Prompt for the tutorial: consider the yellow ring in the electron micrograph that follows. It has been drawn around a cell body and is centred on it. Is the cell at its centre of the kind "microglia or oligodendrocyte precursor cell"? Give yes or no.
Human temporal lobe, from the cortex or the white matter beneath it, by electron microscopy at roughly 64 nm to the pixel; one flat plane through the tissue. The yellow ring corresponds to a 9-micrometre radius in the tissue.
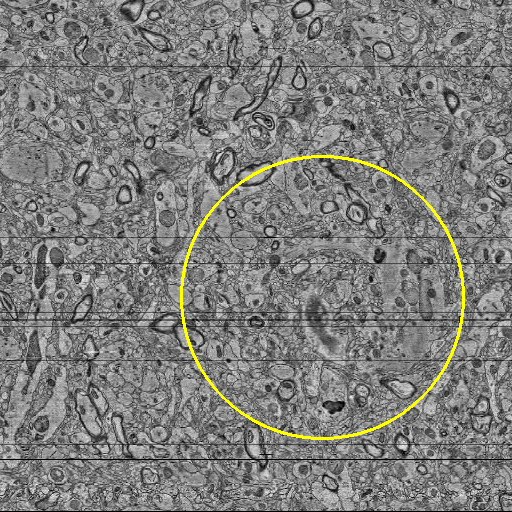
yes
